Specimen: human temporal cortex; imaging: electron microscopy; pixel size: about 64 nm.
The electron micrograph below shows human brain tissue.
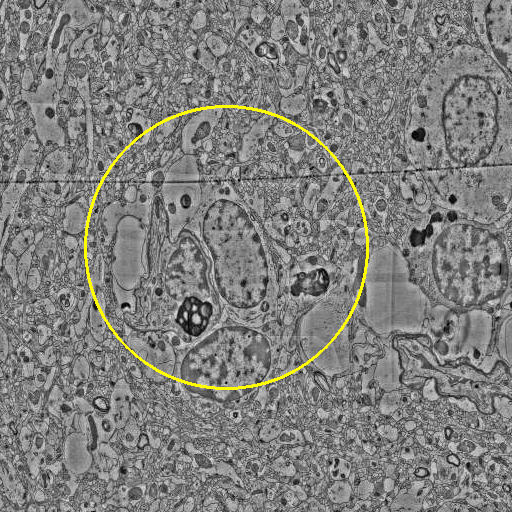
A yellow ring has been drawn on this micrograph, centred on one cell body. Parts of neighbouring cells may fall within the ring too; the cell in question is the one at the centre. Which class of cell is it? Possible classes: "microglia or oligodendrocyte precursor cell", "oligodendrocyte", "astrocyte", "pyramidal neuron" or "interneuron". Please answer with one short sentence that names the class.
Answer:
In the centre of the ring sits a microglial cell or oligodendrocyte precursor cell.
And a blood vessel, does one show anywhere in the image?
Yes, a blood vessel shows in the picture.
